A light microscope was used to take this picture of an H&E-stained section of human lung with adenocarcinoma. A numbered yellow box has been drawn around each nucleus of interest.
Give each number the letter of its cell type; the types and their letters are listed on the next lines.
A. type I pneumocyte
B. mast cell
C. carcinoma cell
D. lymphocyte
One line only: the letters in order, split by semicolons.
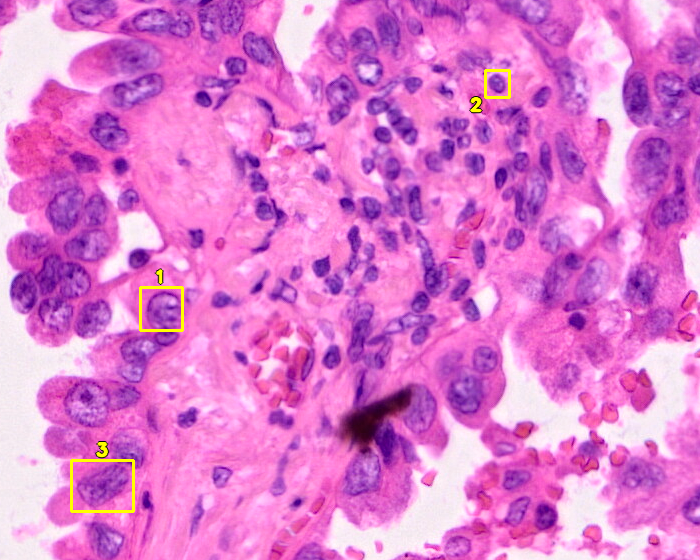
C; D; C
